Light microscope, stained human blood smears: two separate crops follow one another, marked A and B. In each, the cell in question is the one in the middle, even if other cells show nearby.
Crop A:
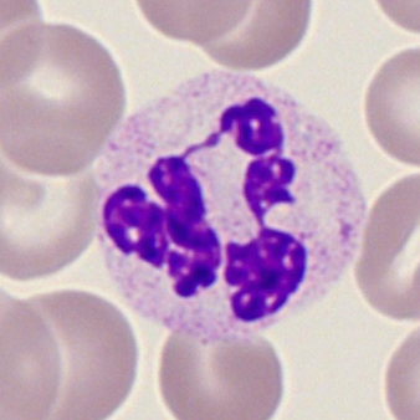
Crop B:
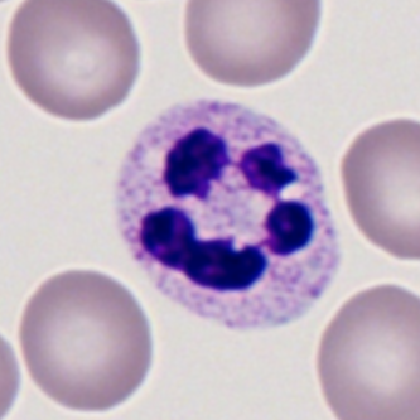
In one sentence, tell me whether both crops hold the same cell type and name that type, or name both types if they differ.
Yes, both crops are centred on cells that are segmented neutrophils.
